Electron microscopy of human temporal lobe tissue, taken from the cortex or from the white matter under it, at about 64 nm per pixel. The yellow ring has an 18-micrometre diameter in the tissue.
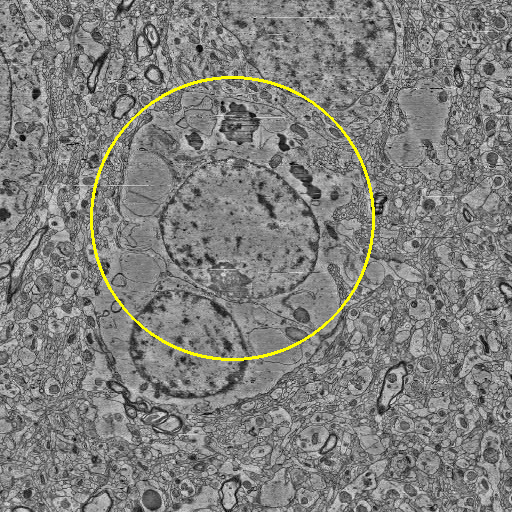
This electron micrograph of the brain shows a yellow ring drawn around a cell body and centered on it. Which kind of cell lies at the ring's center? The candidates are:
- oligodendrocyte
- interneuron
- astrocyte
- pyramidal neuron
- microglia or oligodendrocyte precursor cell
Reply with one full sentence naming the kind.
The cell lying at the ring's center in this micrograph is an astrocyte.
